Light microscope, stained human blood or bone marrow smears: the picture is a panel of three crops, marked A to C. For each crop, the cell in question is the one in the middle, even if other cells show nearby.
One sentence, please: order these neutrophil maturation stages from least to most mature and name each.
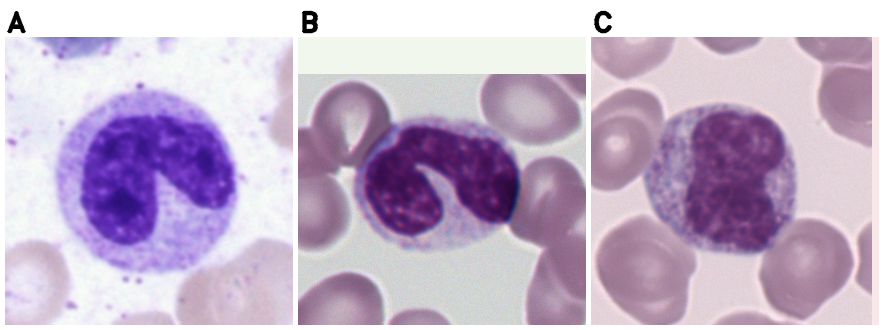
So the order, from least to most mature, is crop C (a metamyelocyte), crop A (a band neutrophil) and crop B (a segmented neutrophil).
